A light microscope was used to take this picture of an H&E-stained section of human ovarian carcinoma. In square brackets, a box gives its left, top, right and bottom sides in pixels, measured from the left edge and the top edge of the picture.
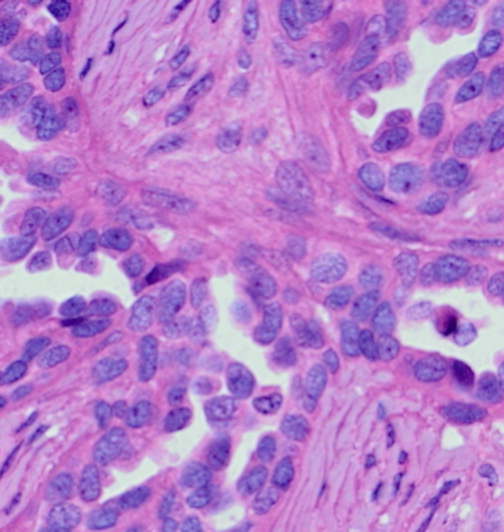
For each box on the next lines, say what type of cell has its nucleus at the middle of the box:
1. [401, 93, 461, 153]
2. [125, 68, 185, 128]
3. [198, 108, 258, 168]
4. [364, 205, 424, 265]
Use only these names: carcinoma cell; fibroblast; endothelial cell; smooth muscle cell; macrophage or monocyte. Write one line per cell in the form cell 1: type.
cell 1: carcinoma cell
cell 2: fibroblast
cell 3: fibroblast
cell 4: fibroblast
